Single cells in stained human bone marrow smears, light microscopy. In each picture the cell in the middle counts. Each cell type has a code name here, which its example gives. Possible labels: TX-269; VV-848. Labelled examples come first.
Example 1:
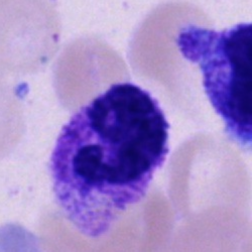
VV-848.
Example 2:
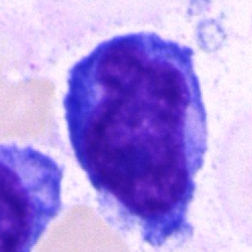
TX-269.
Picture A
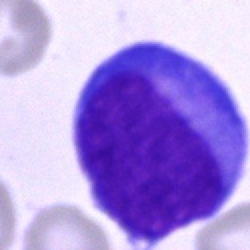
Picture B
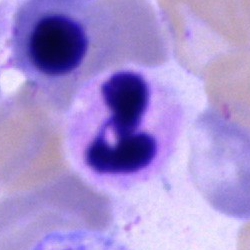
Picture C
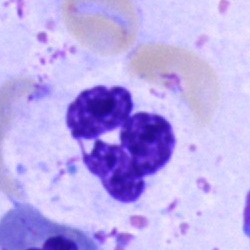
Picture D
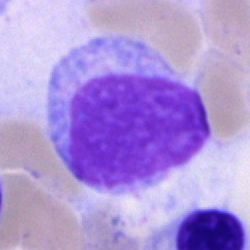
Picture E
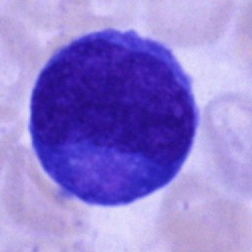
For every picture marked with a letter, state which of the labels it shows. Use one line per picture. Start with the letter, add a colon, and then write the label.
A: TX-269.
B: VV-848.
C: VV-848.
D: TX-269.
E: TX-269.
